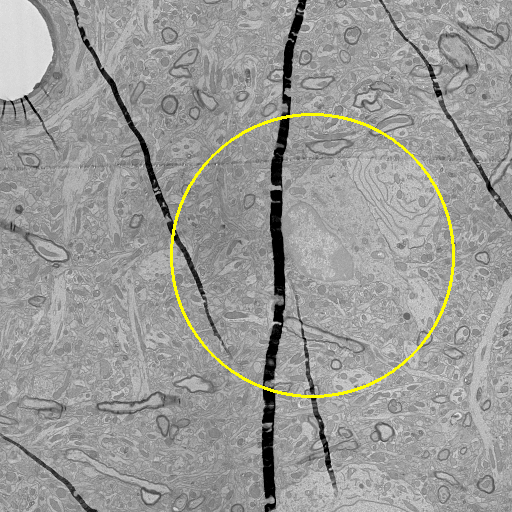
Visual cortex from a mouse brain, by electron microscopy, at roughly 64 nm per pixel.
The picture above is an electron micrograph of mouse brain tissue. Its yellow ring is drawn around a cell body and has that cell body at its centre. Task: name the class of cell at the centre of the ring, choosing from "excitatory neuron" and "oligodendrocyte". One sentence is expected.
The ring surrounds the body of an oligodendrocyte.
